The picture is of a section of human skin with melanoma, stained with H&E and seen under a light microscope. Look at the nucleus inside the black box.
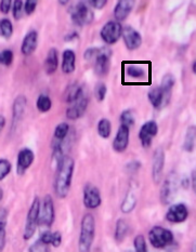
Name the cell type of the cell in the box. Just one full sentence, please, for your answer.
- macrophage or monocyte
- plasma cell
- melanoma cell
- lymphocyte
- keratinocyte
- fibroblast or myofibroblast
The cell type of the cell in the box is that of a lymphocyte.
